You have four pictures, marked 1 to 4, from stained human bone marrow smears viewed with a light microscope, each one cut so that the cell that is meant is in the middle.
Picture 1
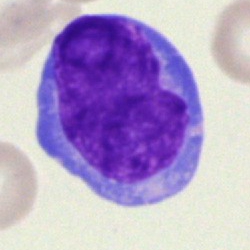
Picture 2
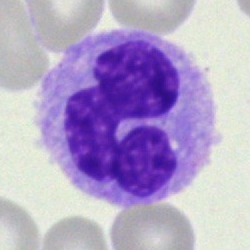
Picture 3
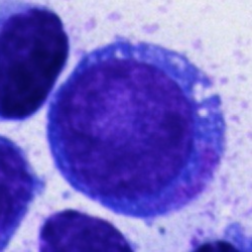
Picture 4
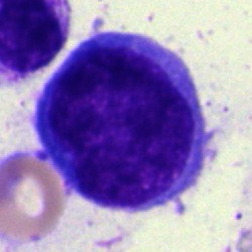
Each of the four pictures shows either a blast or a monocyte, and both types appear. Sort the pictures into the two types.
1: blast
2: monocyte
3: blast
4: blast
